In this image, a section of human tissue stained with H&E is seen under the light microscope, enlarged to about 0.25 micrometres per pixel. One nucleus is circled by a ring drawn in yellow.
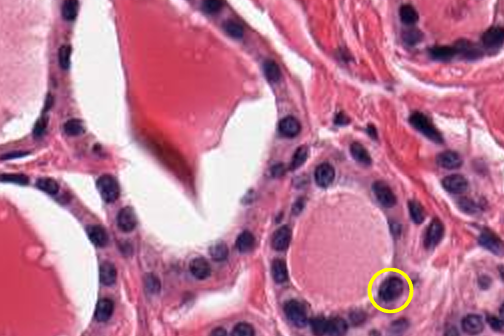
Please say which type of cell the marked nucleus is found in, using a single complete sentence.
The marked nucleus is that of a thyroid follicular cell.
